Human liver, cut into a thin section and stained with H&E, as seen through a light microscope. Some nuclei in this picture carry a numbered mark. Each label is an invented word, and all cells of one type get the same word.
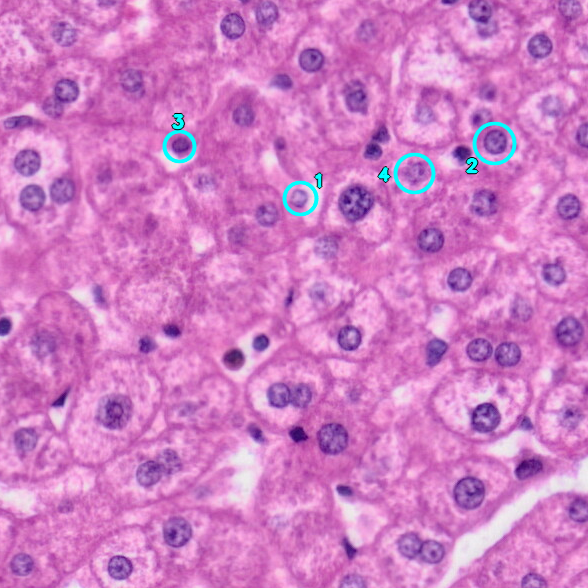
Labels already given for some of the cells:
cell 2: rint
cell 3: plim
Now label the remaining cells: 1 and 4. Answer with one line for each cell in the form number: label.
1: plim
4: rint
